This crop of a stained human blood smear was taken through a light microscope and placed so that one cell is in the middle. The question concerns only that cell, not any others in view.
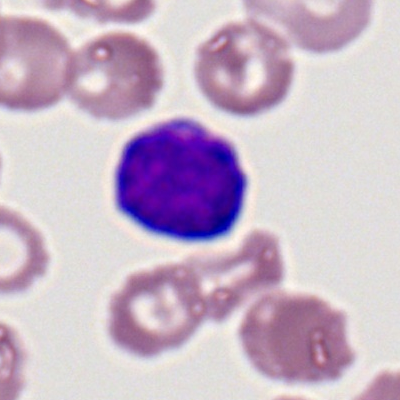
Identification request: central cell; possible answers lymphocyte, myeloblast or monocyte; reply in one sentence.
The cell at the middle of the frame should be recorded as a lymphocyte.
